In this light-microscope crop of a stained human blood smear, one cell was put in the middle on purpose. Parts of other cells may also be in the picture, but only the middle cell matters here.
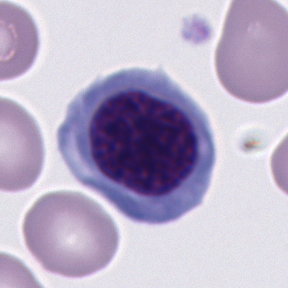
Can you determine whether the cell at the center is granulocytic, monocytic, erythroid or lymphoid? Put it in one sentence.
The middle cell of the crop arises from the erythroid lineage.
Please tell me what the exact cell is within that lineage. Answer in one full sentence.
The cell positioned in the middle of the field is a normoblast.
